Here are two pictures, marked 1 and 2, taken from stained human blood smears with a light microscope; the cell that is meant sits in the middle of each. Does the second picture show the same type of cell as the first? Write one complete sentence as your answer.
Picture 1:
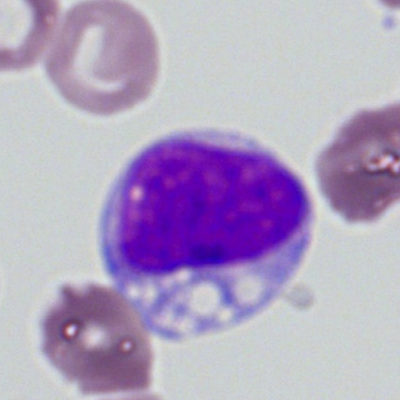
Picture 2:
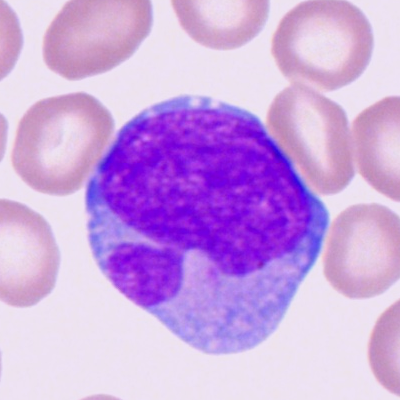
No. Picture 1 shows a monocyte, but picture 2 shows a myeloblast.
